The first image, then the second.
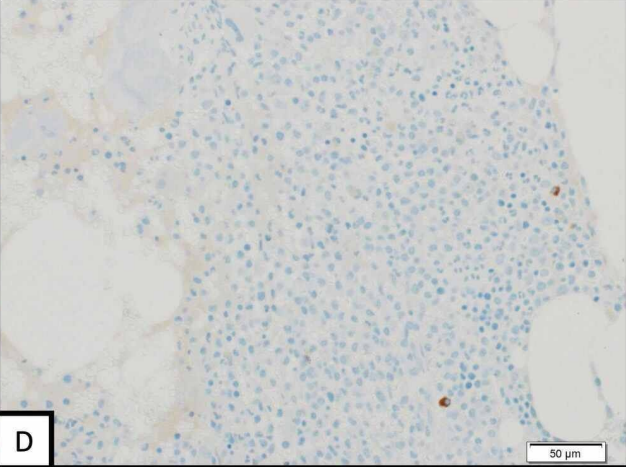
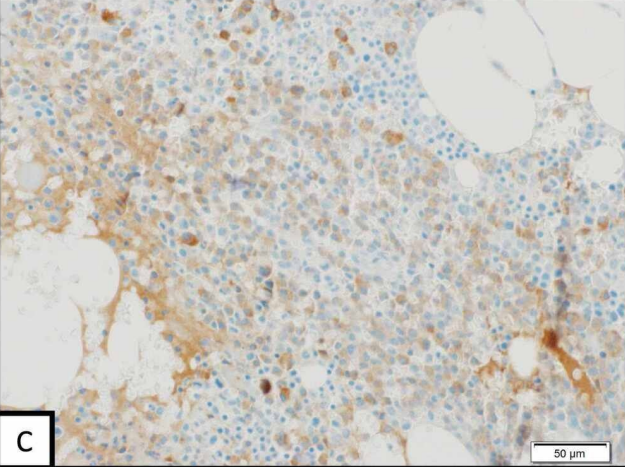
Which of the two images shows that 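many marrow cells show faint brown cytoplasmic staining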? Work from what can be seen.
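First image: almost all cells are blue with only one or two isolated brown cells. Second image: many cells show pale to moderate brown cytoplasm across the section.
The second image.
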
